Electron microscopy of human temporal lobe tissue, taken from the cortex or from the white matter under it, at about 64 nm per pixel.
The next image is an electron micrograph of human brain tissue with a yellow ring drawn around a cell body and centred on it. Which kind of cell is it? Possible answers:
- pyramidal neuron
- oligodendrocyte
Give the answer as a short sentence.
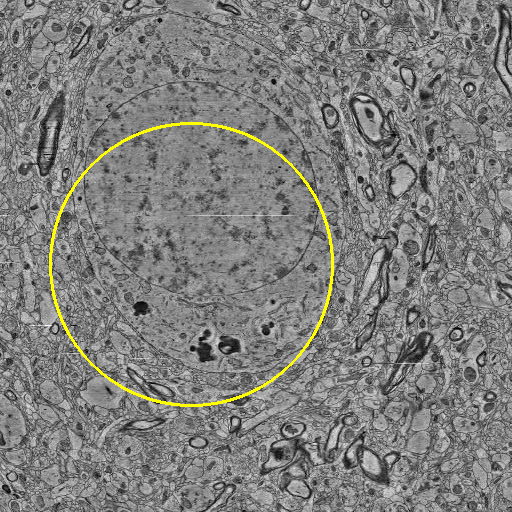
In the ring's centre is a pyramidal neuron.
